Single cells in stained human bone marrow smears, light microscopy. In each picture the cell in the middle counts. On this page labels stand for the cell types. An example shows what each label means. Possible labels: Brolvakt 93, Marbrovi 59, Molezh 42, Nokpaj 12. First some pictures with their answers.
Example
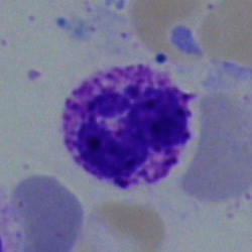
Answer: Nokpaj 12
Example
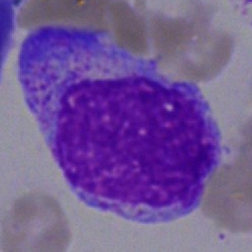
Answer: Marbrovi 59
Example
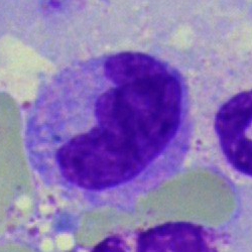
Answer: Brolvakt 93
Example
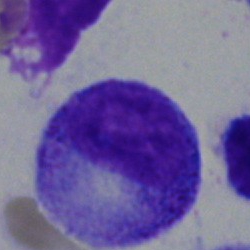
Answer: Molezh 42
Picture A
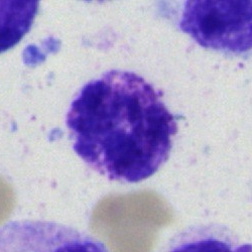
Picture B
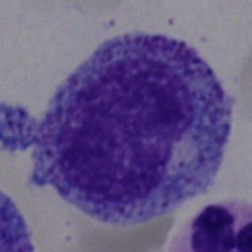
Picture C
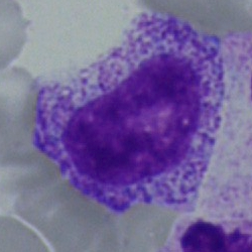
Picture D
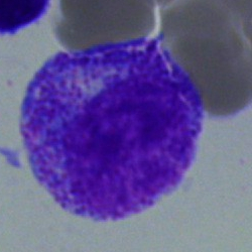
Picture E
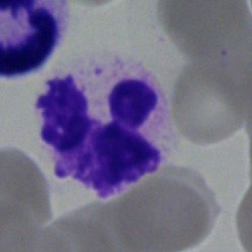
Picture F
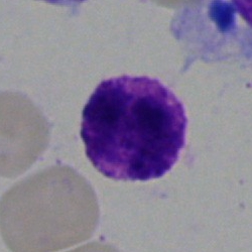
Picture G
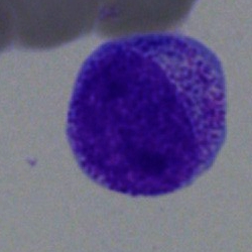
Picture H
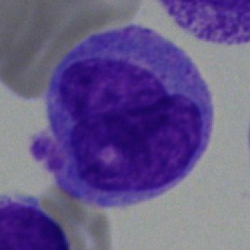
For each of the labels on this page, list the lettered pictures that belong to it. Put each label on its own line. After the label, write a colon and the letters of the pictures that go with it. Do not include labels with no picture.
Brolvakt 93: H
Marbrovi 59: B, D, G
Molezh 42: C
Nokpaj 12: A, E, F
